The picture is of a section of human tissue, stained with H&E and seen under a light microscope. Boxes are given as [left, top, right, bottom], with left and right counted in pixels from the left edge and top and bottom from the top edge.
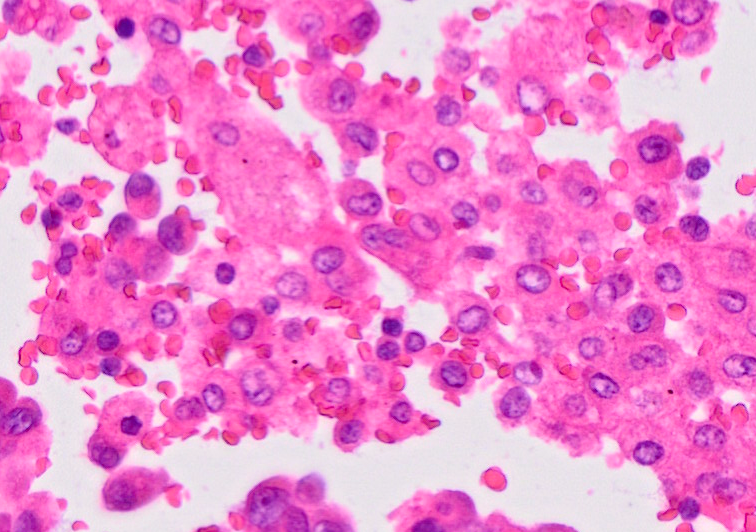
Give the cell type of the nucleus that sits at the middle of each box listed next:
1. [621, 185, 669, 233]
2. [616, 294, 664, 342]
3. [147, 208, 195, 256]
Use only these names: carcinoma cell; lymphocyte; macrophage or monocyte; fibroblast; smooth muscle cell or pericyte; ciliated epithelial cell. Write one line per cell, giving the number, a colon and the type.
1: macrophage or monocyte
2: macrophage or monocyte
3: carcinoma cell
